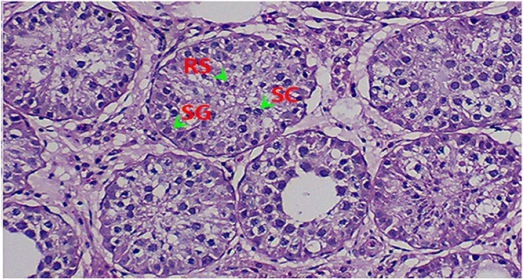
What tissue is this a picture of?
Testis.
